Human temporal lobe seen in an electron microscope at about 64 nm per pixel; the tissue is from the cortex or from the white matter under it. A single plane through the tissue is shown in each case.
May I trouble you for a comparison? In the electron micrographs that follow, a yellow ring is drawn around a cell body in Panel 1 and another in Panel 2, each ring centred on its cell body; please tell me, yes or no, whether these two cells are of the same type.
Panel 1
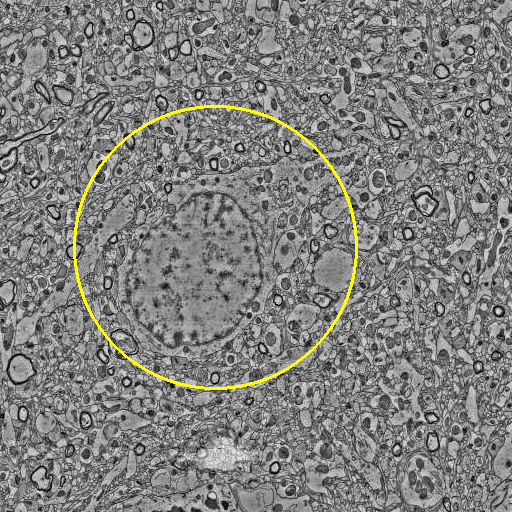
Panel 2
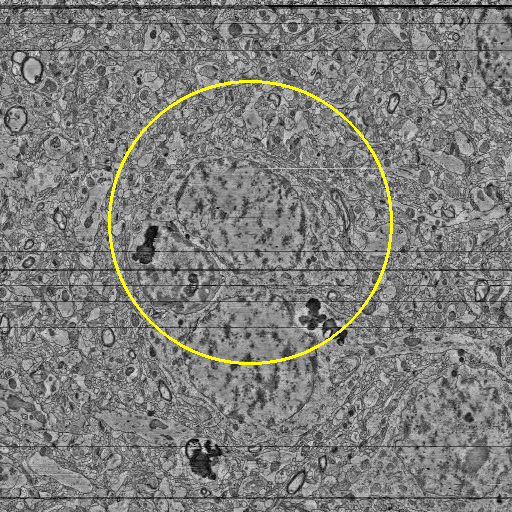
yes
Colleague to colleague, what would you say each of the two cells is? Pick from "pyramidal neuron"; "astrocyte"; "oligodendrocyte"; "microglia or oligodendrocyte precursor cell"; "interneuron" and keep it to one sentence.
In each picture the ringed cell is an interneuron.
